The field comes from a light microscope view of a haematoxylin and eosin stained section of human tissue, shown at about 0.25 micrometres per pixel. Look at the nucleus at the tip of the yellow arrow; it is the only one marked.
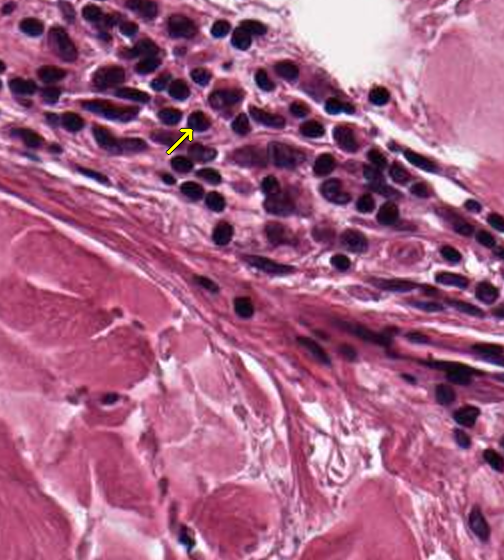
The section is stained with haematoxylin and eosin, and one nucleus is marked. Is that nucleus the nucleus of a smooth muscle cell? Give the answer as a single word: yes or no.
no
